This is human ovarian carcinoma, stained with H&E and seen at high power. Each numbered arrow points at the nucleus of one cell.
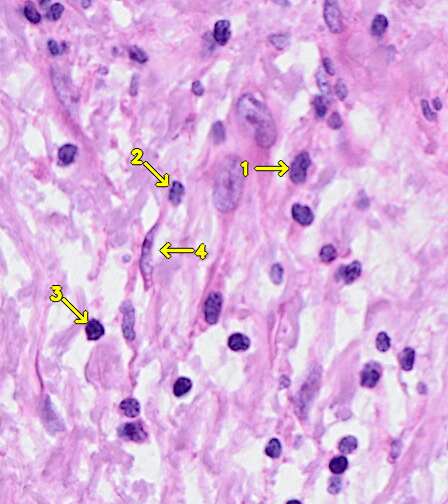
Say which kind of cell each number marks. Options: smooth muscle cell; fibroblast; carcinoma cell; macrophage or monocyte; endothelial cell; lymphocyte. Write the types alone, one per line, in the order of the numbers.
macrophage or monocyte
lymphocyte
lymphocyte
fibroblast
